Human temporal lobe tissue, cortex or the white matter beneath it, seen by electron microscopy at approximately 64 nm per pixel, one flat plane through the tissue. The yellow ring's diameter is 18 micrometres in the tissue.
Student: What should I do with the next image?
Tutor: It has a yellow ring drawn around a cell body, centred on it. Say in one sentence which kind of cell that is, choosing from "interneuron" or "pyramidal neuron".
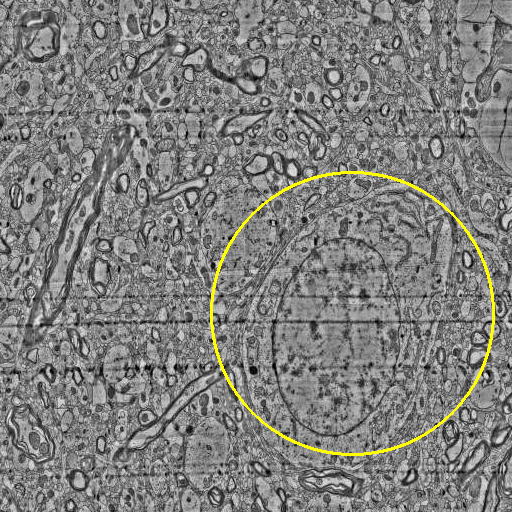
The ring's centre is occupied by a pyramidal neuron.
